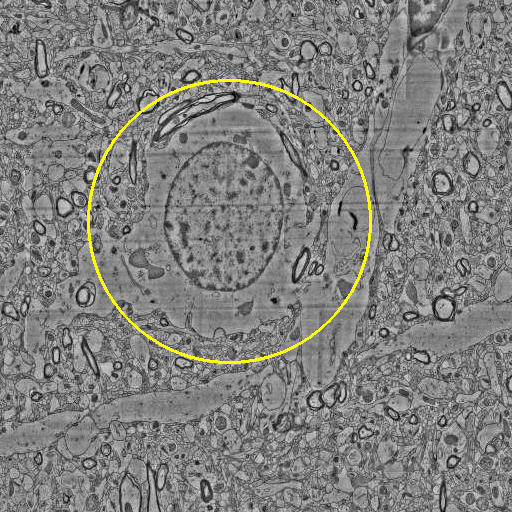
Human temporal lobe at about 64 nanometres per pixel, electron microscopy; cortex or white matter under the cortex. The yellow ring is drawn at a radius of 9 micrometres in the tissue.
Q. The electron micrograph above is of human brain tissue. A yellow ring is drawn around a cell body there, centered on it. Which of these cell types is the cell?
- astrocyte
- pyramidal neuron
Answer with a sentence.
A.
The cell under the ring's center is an astrocyte.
